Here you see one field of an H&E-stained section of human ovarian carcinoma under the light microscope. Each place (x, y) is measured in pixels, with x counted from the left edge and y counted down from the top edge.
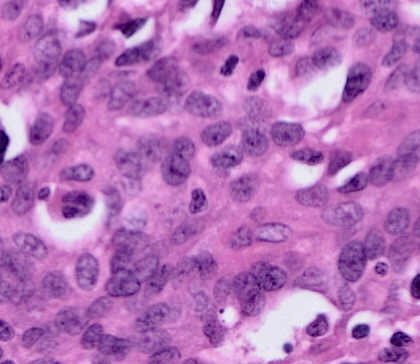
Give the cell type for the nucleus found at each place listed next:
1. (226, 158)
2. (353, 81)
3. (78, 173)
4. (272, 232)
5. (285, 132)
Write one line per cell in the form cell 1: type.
cell 1: macrophage or monocyte
cell 2: carcinoma cell
cell 3: macrophage or monocyte
cell 4: endothelial cell
cell 5: carcinoma cell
